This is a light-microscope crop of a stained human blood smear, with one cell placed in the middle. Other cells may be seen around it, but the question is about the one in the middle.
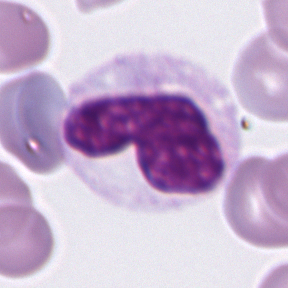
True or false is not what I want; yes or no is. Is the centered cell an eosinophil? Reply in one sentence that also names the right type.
No, looking at the central cell, it is a band neutrophil rather than an eosinophil.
